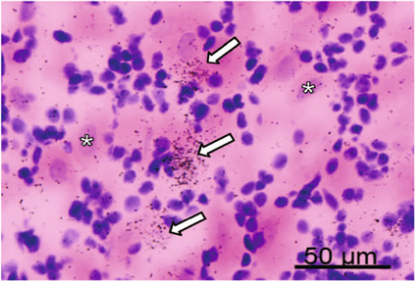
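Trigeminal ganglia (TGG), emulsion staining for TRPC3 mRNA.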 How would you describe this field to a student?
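A few round cell bodies of small to medium size carry clusters of black silver grains. Larger neurons with pale pink cytoplasm lie between them with no grain clusters.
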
